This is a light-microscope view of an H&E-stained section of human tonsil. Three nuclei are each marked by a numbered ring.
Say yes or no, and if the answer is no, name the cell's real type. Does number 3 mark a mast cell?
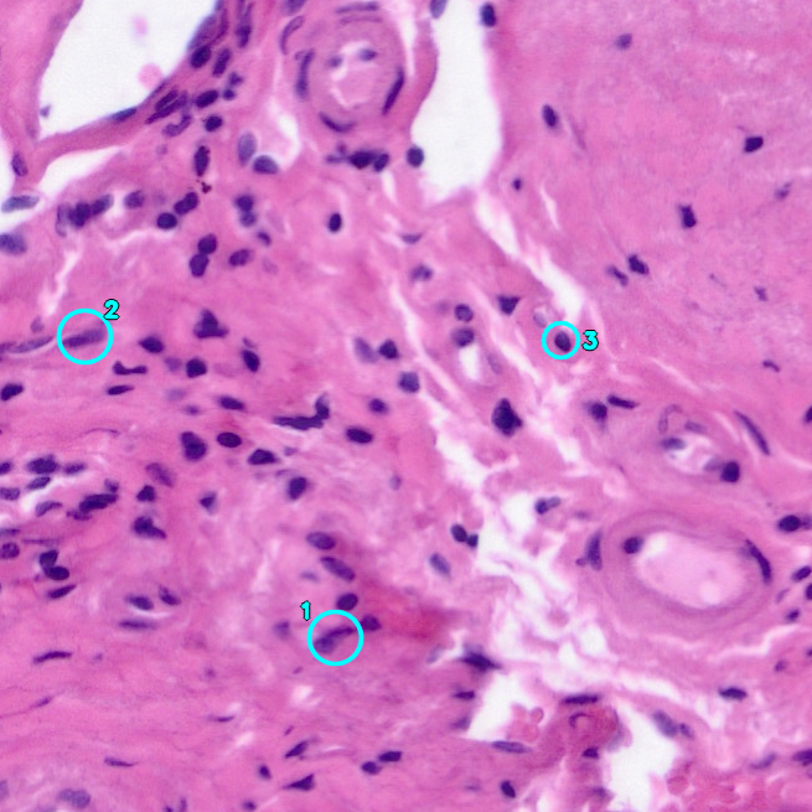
Yes.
